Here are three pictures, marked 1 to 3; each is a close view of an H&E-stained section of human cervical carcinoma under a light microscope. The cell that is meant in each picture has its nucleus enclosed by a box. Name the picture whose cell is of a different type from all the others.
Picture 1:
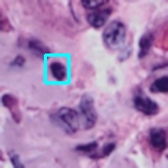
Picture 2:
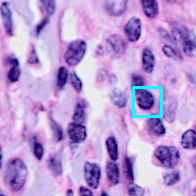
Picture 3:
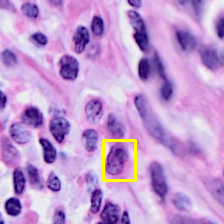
3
